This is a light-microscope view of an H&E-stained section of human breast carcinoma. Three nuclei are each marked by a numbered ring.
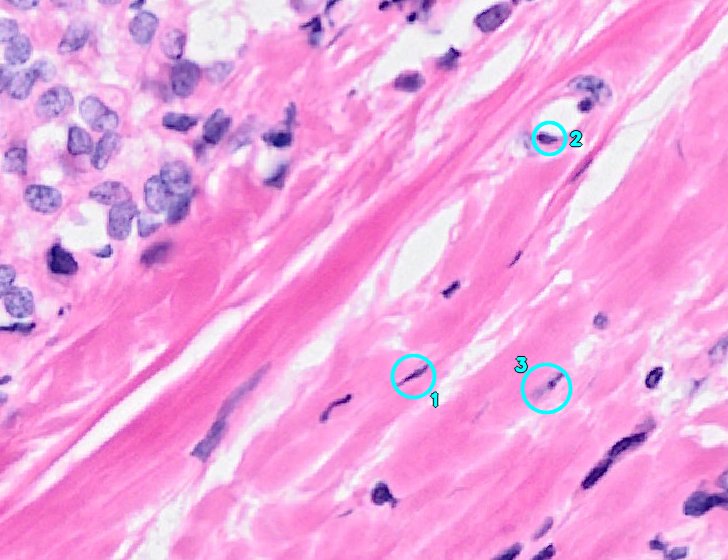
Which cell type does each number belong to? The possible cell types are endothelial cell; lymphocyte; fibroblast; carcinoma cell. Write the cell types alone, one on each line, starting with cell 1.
fibroblast
endothelial cell
fibroblast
